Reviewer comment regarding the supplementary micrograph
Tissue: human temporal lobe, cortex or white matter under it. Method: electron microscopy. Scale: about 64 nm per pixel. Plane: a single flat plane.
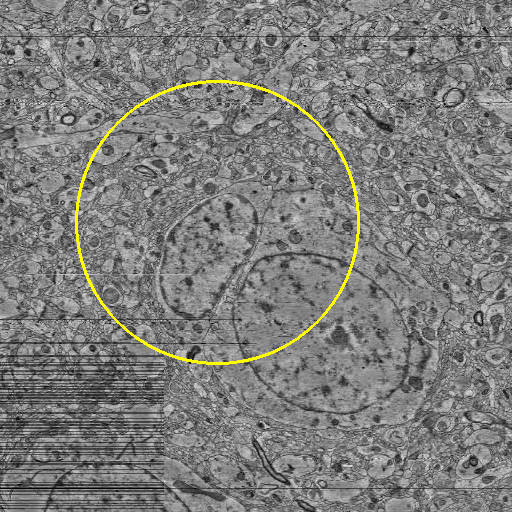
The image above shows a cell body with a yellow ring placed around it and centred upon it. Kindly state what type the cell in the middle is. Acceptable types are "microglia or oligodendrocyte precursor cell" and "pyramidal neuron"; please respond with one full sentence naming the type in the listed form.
In the image above, the cell on which the yellow ring is centred is a microglial cell or oligodendrocyte precursor cell.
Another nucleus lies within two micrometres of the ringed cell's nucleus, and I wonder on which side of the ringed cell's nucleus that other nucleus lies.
That other nucleus lies to the right of it.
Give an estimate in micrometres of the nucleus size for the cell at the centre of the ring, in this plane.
The nucleus of the ringed cell is clearly longer than it is wide in this plane, about 9 by 5 micrometres.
